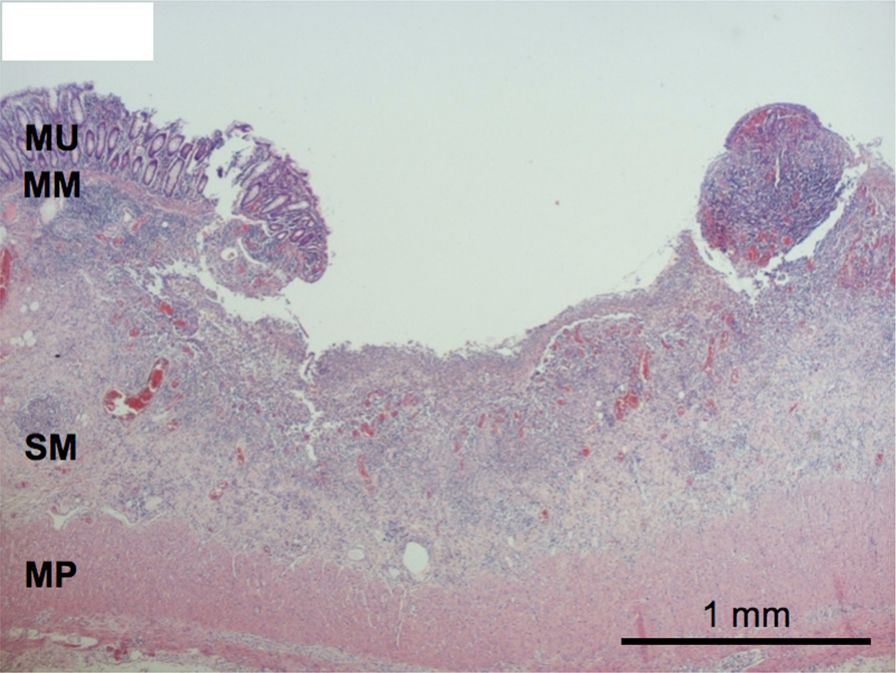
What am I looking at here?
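This section of the colonic wall shows an ulcer, a broad crater in which the surface lining and crypts are lost and the floor lies within the submucosa. The floor of the ulcer and the submucosa beneath it are densely cellular, purple-staining tissue with many congested, red, blood-filled vessels, and no granulomas are evident. Below lies an intact pink band of smooth muscle of the muscularis propria, which the ulcer does not reach.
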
